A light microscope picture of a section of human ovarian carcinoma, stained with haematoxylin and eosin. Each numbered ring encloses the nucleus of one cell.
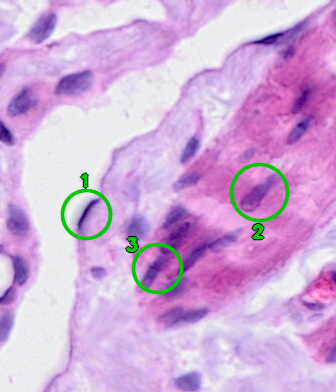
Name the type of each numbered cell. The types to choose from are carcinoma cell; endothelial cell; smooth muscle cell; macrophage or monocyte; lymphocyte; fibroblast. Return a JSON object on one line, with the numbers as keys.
{"1": "endothelial cell", "2": "smooth muscle cell", "3": "smooth muscle cell"}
